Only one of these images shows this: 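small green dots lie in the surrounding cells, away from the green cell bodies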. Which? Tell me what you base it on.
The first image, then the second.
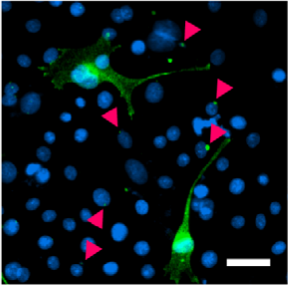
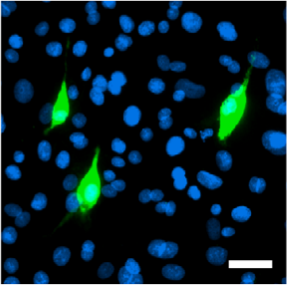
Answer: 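Second image: green signal is confined to the three spindle-shaped cells; no separate green dots among the neighbouring nuclei. First image: several small green dots, pointed to by red arrowheads, lie beside blue nuclei away from the branched green cells. The answer: the first image.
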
